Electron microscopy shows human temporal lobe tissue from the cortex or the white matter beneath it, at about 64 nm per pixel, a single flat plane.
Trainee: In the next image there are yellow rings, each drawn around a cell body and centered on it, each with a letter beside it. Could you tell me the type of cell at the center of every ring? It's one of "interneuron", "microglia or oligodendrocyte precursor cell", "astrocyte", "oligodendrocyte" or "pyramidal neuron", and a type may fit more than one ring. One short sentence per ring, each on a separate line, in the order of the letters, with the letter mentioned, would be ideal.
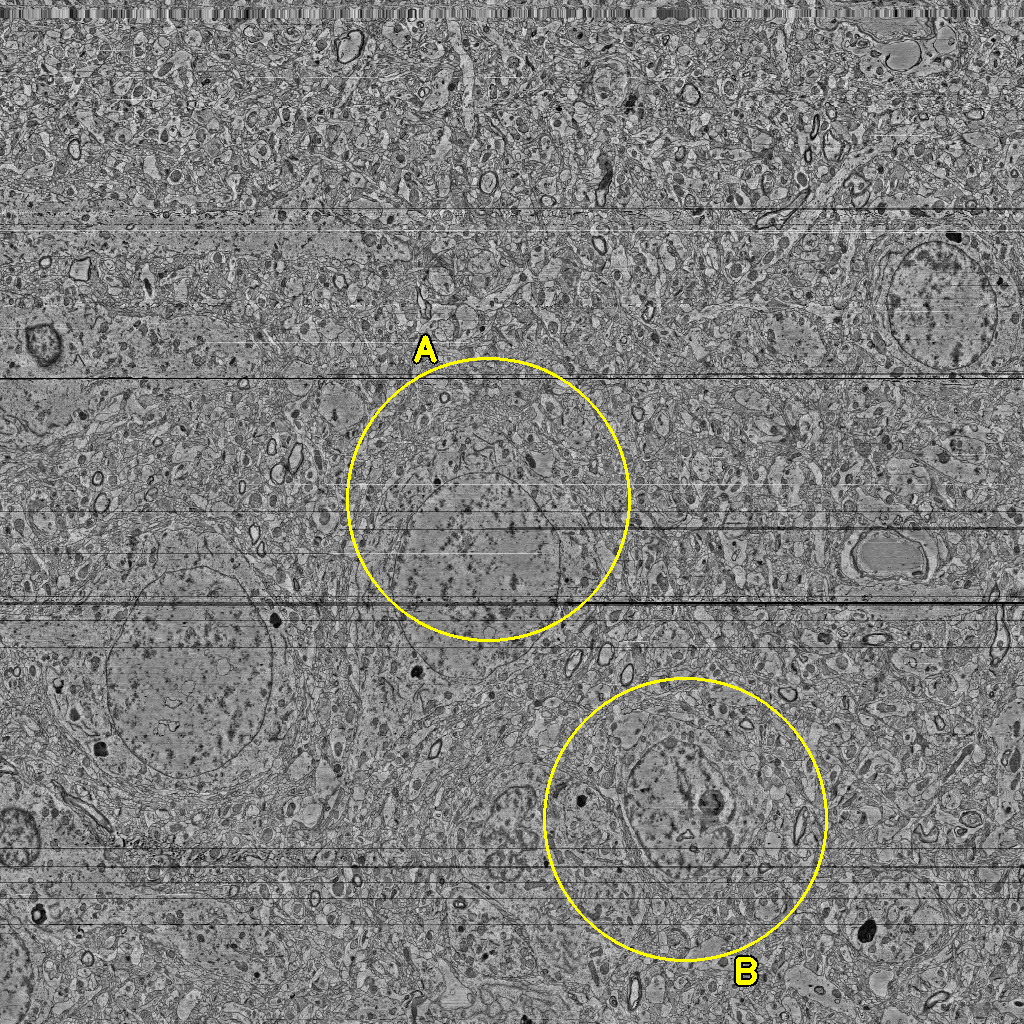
What ring A is centered on is a pyramidal neuron.
What ring B is centered on is an interneuron.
